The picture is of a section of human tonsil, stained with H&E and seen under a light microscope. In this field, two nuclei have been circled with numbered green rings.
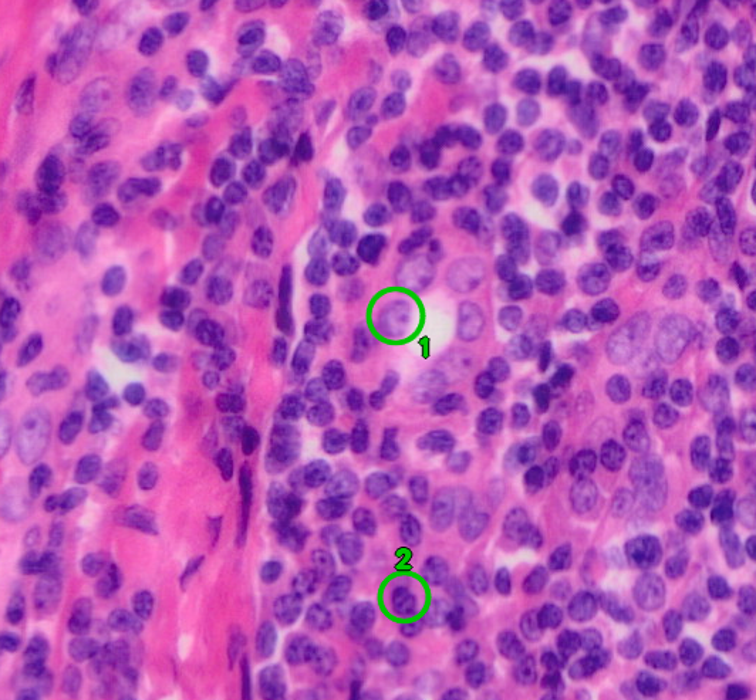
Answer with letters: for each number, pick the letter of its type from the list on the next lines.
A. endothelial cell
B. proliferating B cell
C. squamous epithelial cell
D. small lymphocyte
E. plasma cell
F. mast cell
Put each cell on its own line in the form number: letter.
1: A
2: E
